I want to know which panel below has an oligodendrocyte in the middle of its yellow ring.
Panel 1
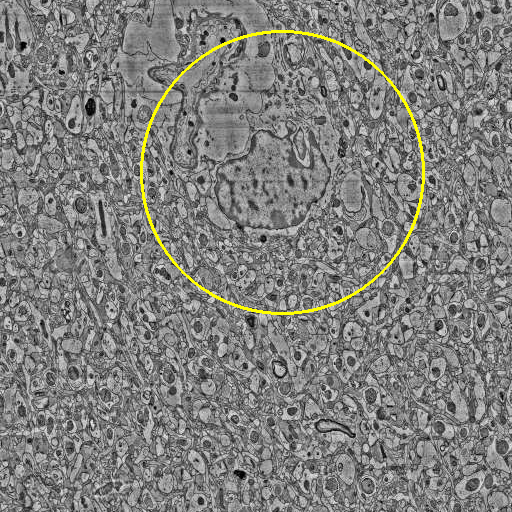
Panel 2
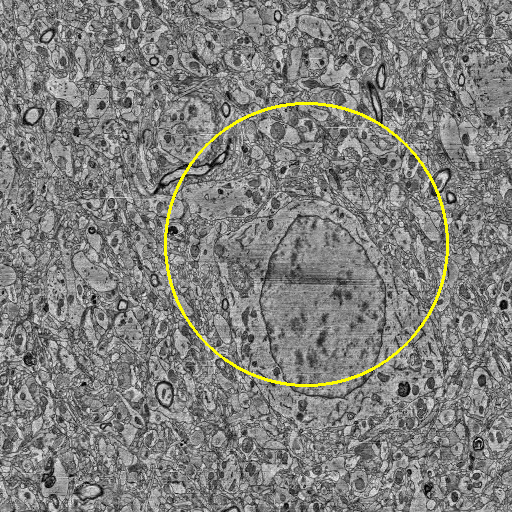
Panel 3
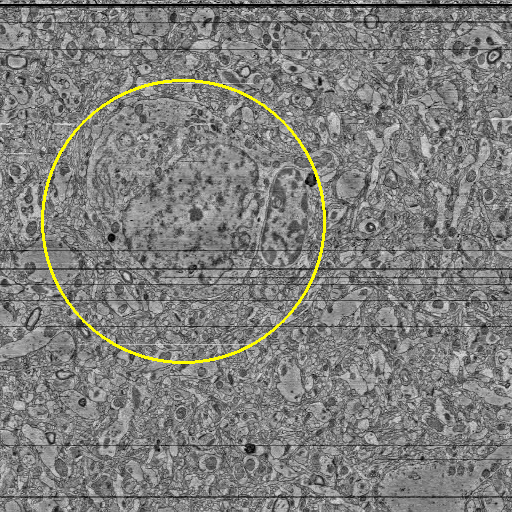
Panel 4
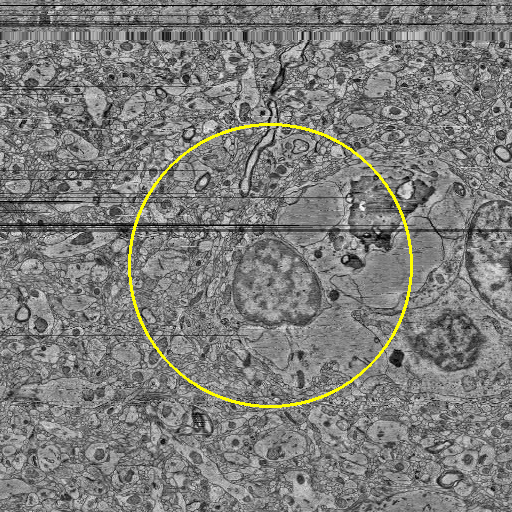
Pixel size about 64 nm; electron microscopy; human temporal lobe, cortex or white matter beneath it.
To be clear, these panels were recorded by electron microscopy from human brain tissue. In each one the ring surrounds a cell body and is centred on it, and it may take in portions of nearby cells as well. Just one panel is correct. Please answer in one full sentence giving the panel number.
Panel 4 has the requested cell sitting at the centre of its ring.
